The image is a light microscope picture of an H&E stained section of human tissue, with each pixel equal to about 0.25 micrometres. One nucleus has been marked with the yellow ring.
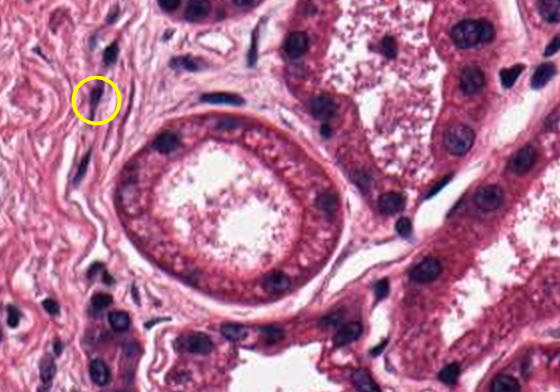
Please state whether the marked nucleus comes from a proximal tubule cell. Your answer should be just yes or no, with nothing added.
no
